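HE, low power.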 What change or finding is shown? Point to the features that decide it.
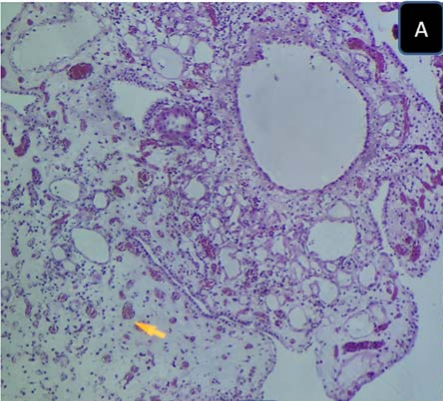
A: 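Nephrogenic metaplasia. Many small tubules and cystically dilated spaces crowd a loose stroma. The tubules and cysts are lined by a single layer of flat to cuboidal cells. Some small tubules hold pink material.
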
